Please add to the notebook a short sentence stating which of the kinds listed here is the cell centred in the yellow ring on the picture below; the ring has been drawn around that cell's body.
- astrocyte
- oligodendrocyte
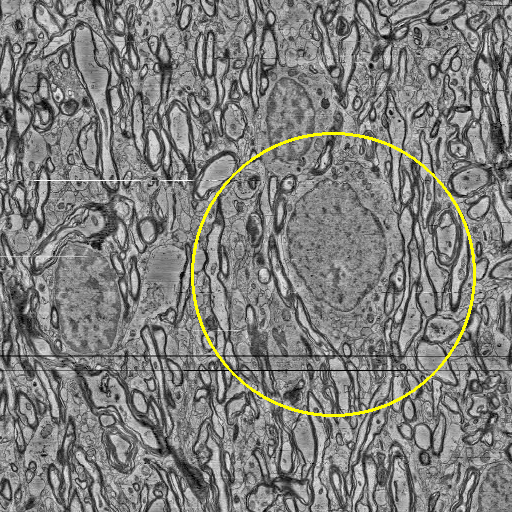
The cell centred in the yellow ring is an astrocyte.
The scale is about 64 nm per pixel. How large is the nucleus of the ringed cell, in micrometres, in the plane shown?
In this plane, about 9 micrometres in length and 6 in width.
